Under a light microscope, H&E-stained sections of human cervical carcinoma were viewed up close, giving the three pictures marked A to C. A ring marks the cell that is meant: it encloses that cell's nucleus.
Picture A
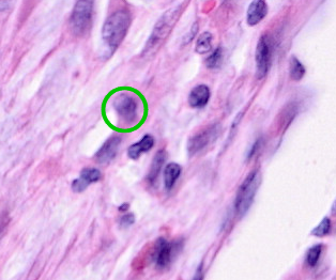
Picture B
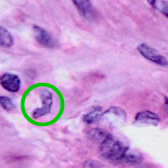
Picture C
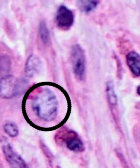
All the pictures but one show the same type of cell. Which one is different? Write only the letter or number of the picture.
C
